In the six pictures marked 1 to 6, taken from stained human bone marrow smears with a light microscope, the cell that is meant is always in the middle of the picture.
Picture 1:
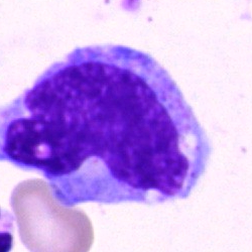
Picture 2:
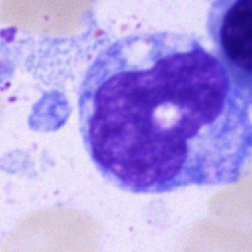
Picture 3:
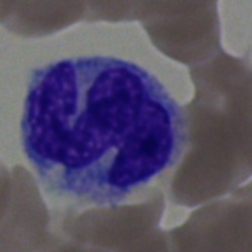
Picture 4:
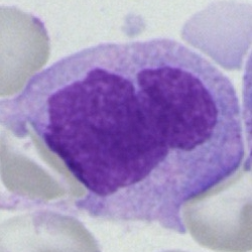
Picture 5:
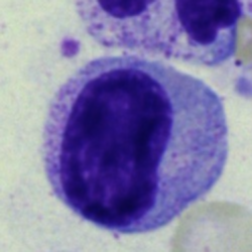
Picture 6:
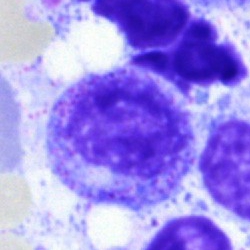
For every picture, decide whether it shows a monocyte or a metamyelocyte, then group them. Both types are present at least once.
1: monocyte
2: monocyte
3: monocyte
4: monocyte
5: metamyelocyte
6: metamyelocyte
